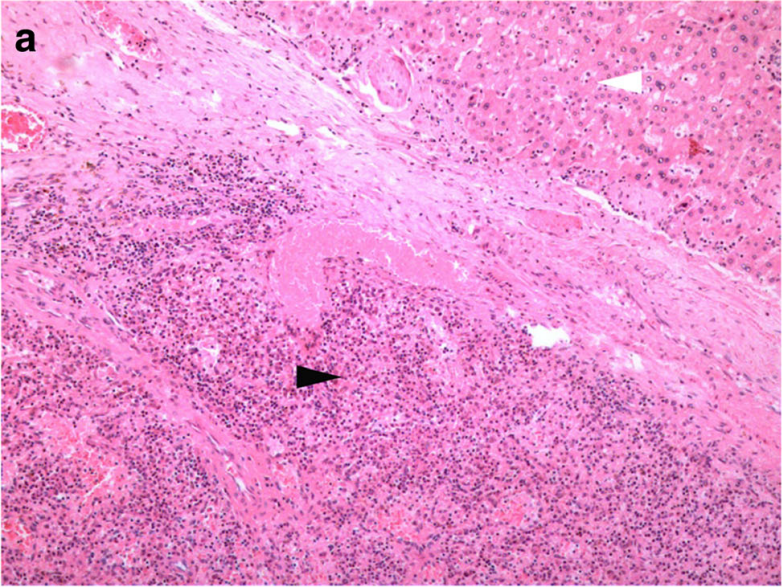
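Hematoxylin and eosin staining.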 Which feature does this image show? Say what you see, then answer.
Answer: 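Capsule. A diagonal band of pink fibrous tissue with elongated nuclei runs across the panel. The band separates the pale polygonal-cell tissue above from the dense dark-nucleated tissue below.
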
